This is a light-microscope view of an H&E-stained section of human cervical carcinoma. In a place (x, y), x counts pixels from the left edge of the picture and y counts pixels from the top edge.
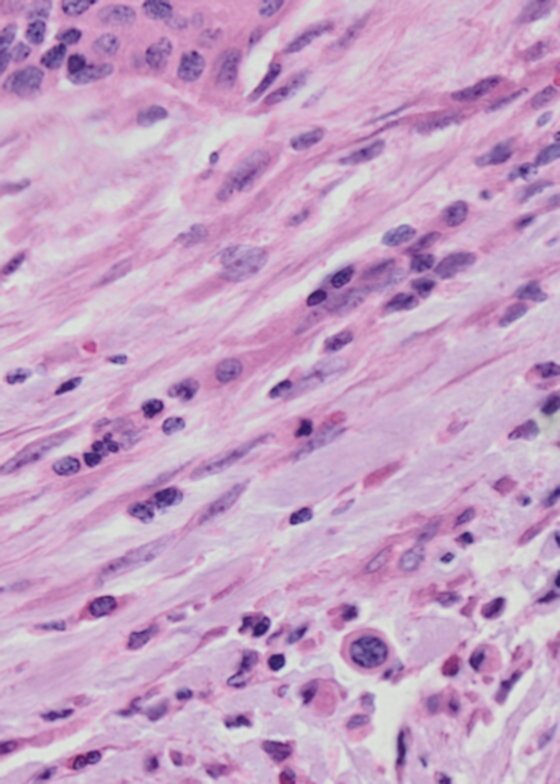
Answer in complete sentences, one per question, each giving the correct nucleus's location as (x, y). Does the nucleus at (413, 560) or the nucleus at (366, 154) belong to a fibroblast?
Of the two nuclei, the nucleus of a fibroblast is at (366, 154).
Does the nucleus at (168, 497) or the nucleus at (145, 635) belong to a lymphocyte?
The nucleus whose cell is a lymphocyte is the one at (168, 497).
